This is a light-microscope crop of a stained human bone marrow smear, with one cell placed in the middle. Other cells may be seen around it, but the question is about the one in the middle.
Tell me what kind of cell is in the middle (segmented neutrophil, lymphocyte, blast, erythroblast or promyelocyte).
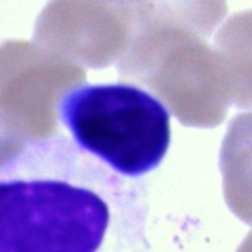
lymphocyte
